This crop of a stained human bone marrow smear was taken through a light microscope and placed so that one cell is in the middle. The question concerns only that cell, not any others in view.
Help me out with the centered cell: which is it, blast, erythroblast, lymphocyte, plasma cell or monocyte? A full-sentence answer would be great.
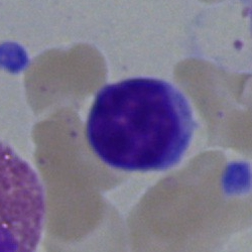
The cell at the central position in this crop is a lymphocyte.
